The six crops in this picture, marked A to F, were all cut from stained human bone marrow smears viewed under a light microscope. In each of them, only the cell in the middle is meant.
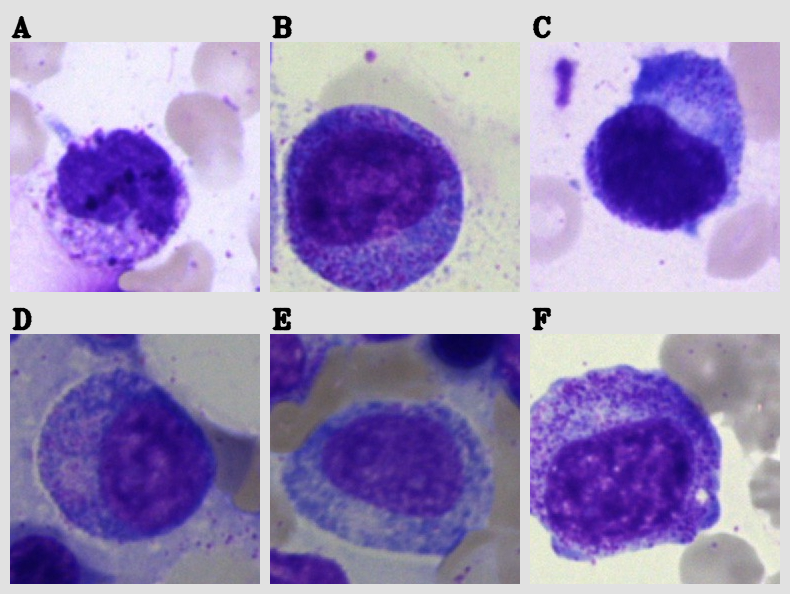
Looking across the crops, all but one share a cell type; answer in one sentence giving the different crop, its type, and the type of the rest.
Crop A alone shows a basophil; the other crops are all promyelocytes.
